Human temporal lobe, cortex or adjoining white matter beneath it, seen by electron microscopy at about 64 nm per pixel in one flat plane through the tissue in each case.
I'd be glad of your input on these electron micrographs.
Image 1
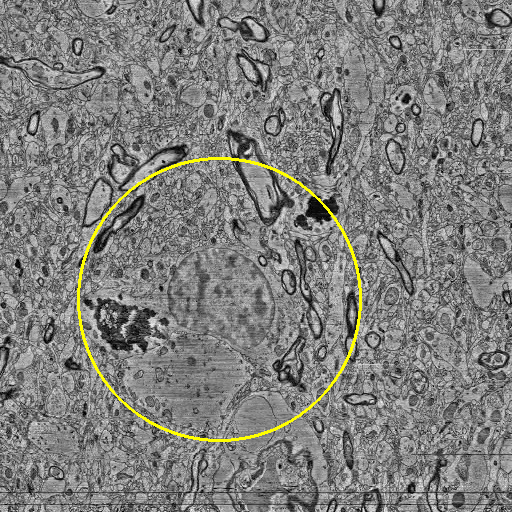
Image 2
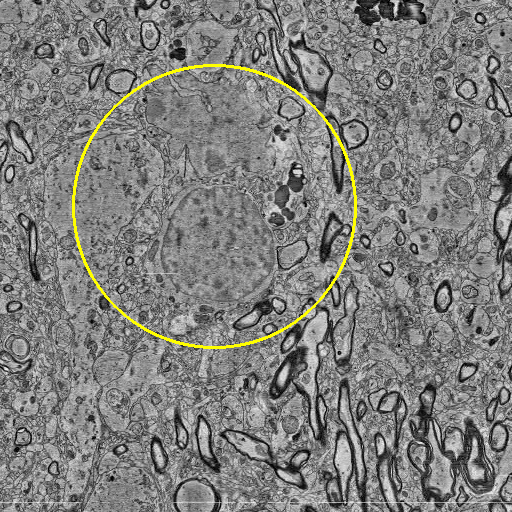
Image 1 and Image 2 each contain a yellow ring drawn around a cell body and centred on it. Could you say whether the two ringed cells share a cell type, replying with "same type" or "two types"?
same type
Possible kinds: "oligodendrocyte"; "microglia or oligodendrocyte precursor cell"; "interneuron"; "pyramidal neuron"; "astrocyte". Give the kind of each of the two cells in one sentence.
In the first picture and in the second, the ring is centred on an oligodendrocyte.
